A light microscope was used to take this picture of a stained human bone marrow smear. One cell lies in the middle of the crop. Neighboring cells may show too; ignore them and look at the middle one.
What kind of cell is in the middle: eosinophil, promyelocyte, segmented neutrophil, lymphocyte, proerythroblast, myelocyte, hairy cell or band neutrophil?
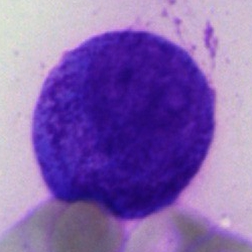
promyelocyte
